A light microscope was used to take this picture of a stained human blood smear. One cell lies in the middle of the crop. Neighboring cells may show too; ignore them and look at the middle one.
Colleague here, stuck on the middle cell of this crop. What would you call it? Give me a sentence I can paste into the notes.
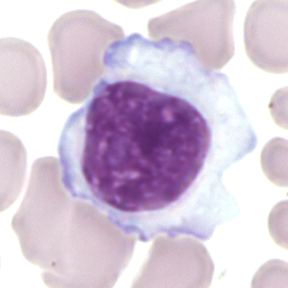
This crop is built around a plasma cell at its centre.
